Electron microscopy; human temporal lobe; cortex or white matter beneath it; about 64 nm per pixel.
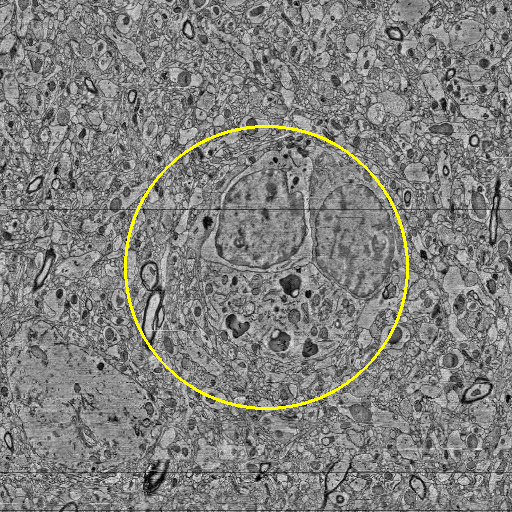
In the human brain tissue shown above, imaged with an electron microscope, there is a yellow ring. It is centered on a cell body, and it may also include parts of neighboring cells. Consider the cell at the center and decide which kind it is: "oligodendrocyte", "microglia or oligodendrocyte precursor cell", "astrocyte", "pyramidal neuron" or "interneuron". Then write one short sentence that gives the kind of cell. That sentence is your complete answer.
This centered cell body is that of a microglial cell or oligodendrocyte precursor cell.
